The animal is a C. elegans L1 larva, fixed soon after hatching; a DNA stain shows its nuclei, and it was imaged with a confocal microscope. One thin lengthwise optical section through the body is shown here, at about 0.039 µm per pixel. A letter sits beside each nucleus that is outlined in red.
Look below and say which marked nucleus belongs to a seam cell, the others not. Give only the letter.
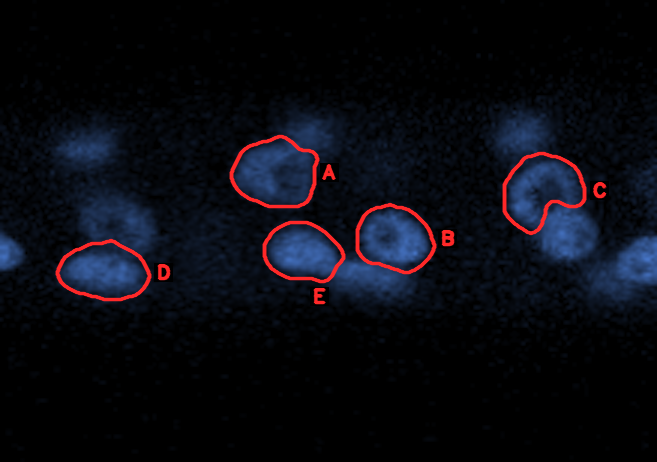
B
